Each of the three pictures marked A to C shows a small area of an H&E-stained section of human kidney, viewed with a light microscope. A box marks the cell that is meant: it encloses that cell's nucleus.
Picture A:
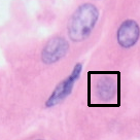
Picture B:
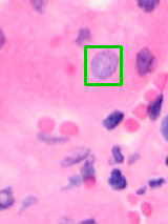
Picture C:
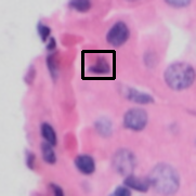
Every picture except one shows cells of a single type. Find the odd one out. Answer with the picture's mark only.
C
